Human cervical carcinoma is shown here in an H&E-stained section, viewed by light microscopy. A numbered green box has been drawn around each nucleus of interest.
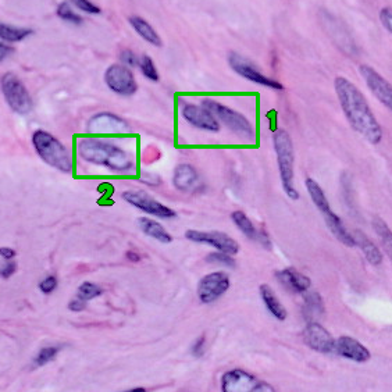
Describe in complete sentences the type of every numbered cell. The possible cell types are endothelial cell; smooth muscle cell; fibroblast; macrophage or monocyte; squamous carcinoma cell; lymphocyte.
Cell 1 is a fibroblast and cell 2 is an endothelial cell.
